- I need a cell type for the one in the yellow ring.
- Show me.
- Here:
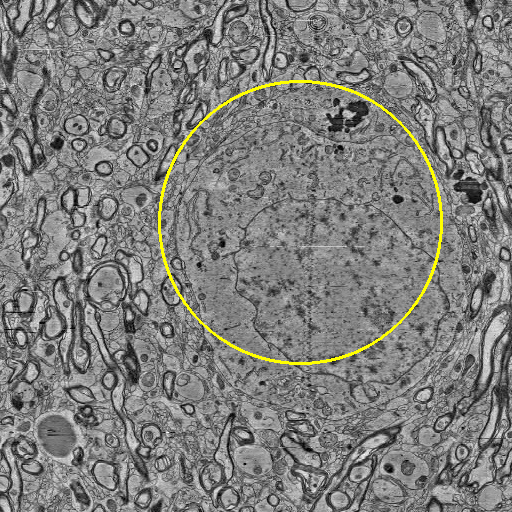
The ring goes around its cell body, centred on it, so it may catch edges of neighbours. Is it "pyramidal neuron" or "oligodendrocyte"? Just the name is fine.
pyramidal neuron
